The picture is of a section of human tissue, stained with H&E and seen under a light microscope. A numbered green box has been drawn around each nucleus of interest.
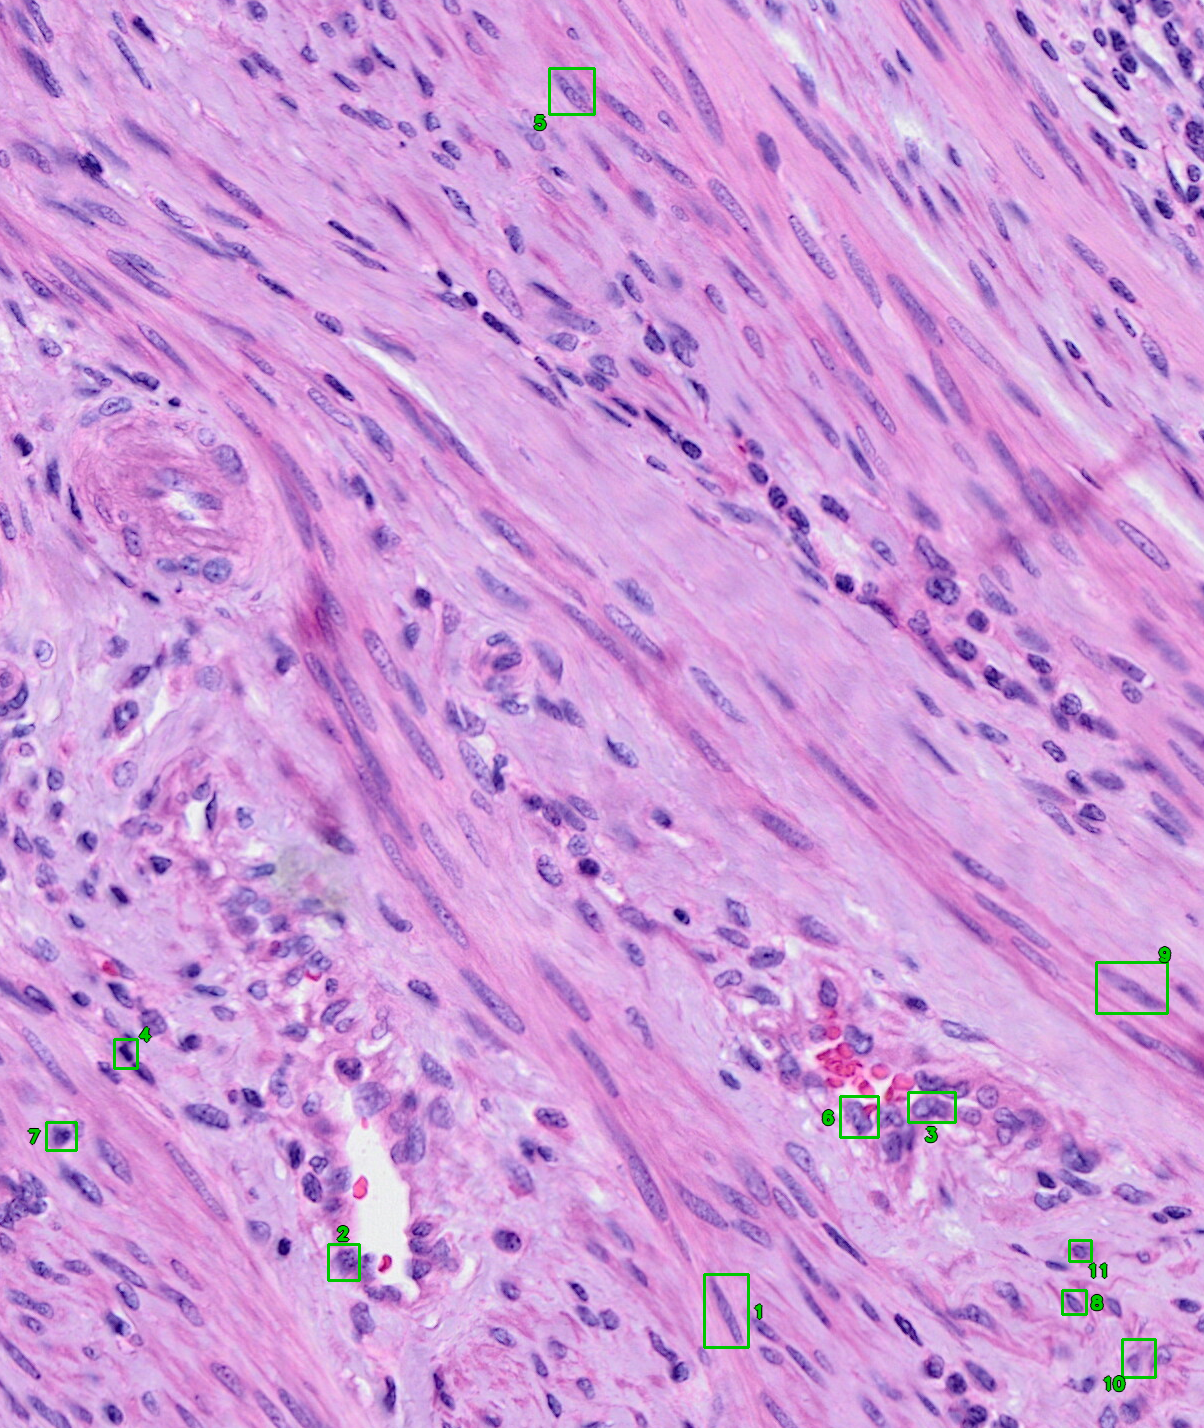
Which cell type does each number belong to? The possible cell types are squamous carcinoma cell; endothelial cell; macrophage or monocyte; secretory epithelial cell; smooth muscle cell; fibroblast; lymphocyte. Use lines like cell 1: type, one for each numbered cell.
cell 1: smooth muscle cell
cell 2: endothelial cell
cell 3: endothelial cell
cell 4: lymphocyte
cell 5: smooth muscle cell
cell 6: endothelial cell
cell 7: lymphocyte
cell 8: smooth muscle cell
cell 9: smooth muscle cell
cell 10: smooth muscle cell
cell 11: smooth muscle cell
